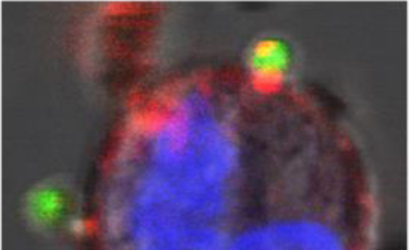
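A rim of red dots traces the cell surface around it. Small green spots sit at the edge of the cell, one at the top touching a red-yellow patch of membrane and one out at the left side, rather than within the cytoplasm.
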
